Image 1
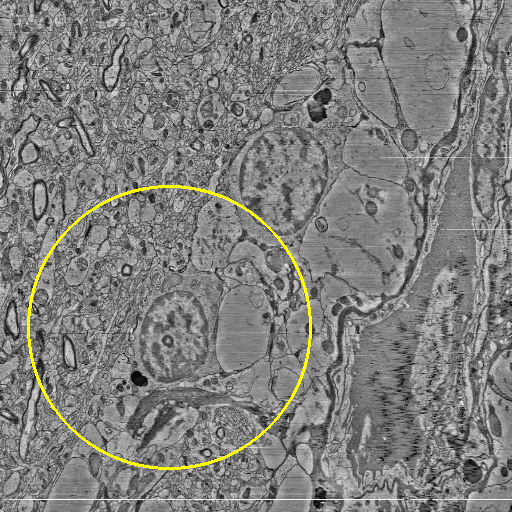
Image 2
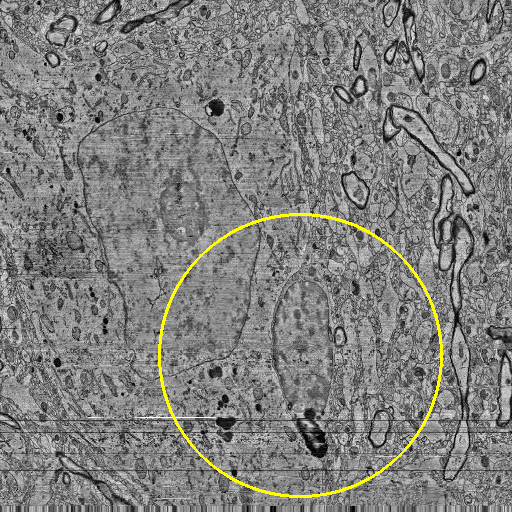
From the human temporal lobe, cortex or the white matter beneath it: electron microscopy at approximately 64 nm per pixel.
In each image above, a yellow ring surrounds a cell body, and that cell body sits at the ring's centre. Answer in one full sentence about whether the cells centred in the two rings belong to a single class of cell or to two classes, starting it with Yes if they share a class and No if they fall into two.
Yes, the cells centred in the two yellow rings belong to a single class of cell.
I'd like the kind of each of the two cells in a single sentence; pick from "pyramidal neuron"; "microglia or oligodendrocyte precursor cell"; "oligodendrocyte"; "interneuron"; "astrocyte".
The ring centre holds an oligodendrocyte in each of the two pictures.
